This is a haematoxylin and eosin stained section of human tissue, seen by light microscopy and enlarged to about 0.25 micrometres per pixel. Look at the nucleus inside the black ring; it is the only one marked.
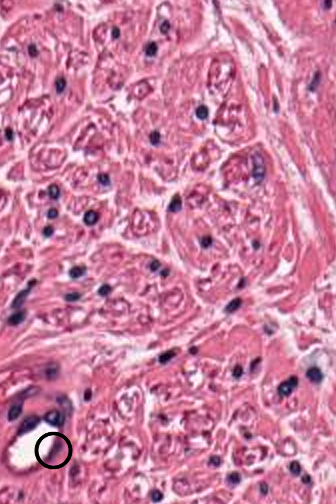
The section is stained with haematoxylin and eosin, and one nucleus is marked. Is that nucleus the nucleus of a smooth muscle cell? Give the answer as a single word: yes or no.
no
